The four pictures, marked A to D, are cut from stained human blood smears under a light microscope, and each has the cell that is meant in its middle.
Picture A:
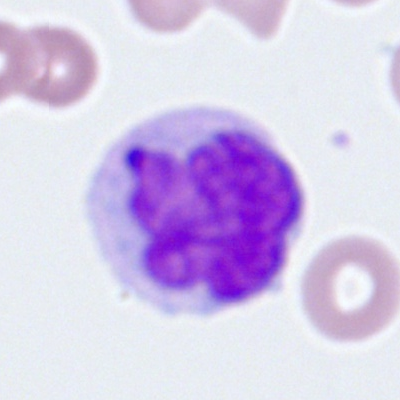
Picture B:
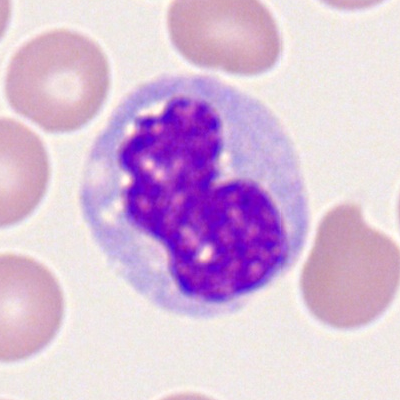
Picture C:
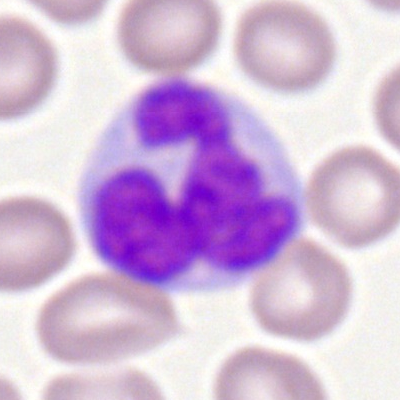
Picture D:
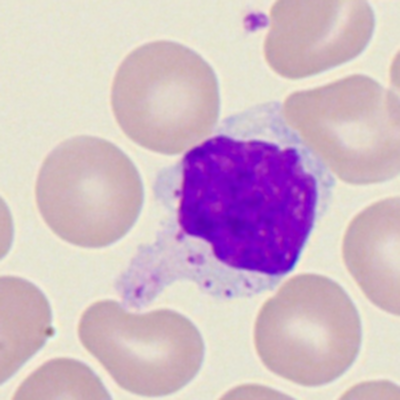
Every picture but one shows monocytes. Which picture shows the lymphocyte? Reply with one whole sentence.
It is picture D that shows the lymphocyte.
